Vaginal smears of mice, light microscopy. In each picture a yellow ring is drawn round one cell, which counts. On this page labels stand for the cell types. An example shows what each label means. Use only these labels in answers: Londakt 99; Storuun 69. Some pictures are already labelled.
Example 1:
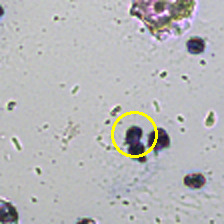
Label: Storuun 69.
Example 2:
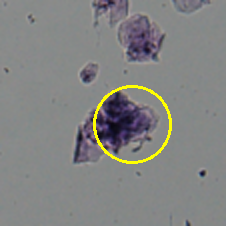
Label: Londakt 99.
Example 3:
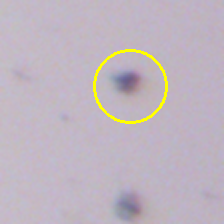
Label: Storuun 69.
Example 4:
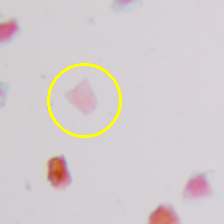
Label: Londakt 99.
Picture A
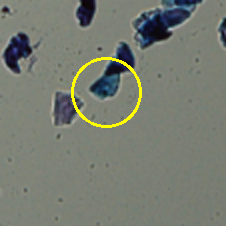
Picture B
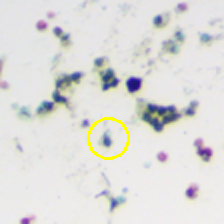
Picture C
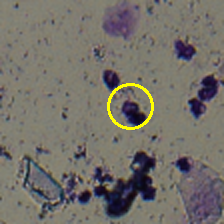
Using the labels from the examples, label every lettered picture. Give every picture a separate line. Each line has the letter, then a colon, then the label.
A: Londakt 99.
B: Storuun 69.
C: Storuun 69.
